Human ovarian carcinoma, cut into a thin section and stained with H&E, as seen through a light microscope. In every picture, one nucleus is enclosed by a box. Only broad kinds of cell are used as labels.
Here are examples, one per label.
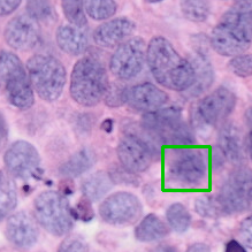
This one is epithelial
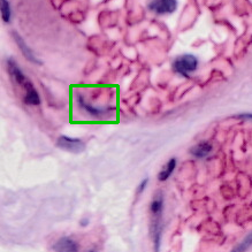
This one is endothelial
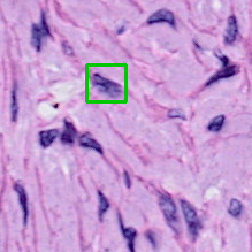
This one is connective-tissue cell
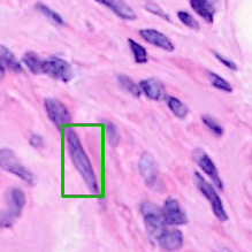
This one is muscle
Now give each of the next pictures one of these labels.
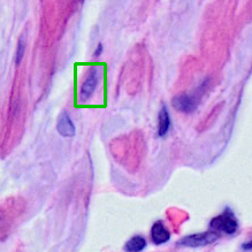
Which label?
endothelial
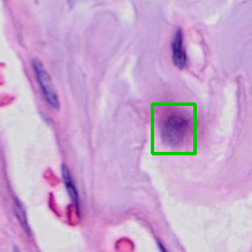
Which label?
endothelial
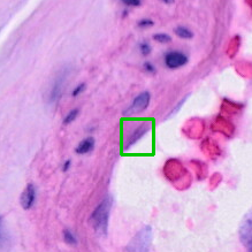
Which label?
endothelial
